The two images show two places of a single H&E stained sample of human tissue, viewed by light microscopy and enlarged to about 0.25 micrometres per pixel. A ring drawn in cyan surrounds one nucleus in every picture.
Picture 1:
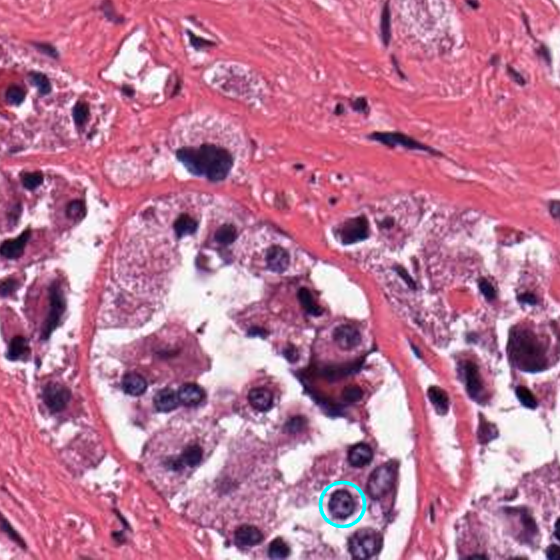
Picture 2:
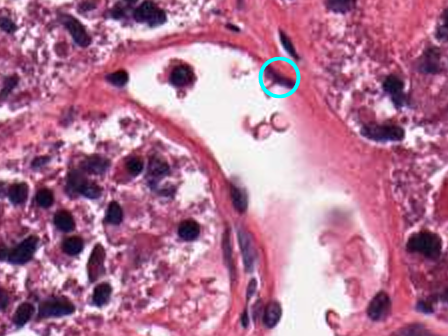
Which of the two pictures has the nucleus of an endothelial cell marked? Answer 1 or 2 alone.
2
